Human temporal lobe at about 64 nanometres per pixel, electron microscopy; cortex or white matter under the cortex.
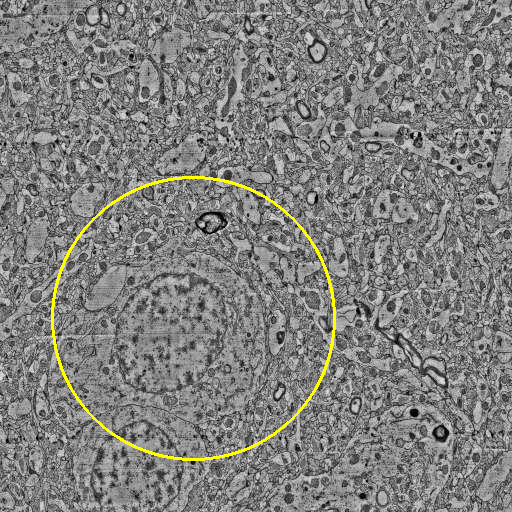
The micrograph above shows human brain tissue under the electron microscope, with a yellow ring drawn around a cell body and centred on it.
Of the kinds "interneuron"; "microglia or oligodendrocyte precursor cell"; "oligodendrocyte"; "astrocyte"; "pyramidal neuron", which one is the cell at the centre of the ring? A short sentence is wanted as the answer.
The one at the centre of the ring is an interneuron.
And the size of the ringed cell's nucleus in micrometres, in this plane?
The nucleus is approximately 8 micrometers long by 7 micrometers wide in this plane.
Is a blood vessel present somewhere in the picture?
No, there is no blood vessel.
